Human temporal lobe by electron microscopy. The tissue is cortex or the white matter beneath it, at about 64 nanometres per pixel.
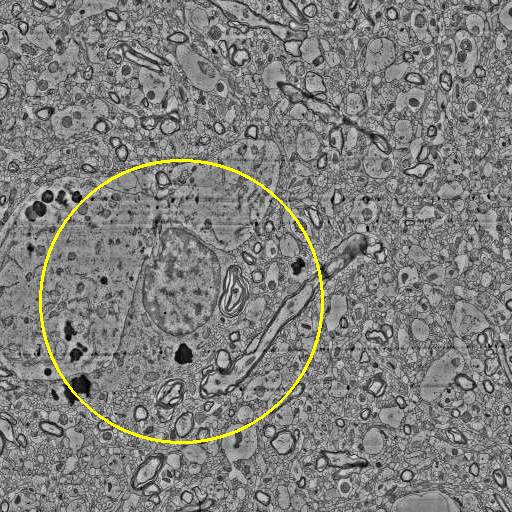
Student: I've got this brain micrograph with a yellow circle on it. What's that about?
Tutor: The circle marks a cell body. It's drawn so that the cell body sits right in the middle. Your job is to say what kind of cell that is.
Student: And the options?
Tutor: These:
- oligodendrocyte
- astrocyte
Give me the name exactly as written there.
oligodendrocyte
